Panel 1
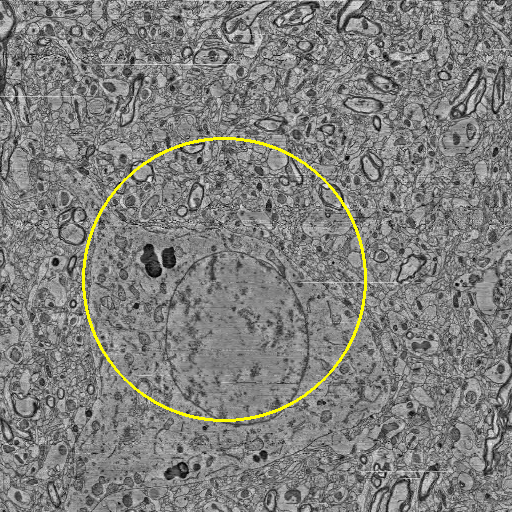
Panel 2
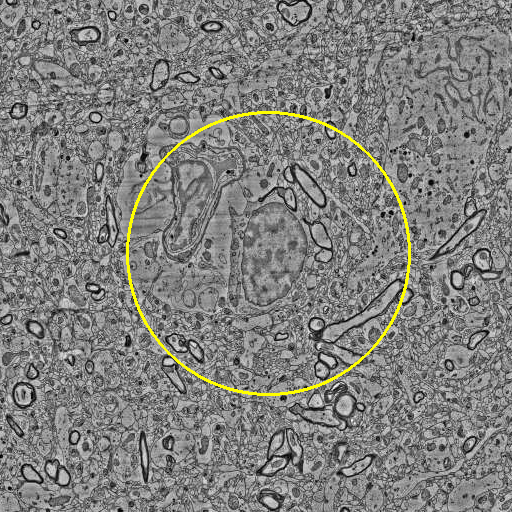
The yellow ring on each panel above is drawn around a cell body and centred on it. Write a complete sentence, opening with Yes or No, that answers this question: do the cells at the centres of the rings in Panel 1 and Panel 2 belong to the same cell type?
No, the two cells belong to two cell types.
